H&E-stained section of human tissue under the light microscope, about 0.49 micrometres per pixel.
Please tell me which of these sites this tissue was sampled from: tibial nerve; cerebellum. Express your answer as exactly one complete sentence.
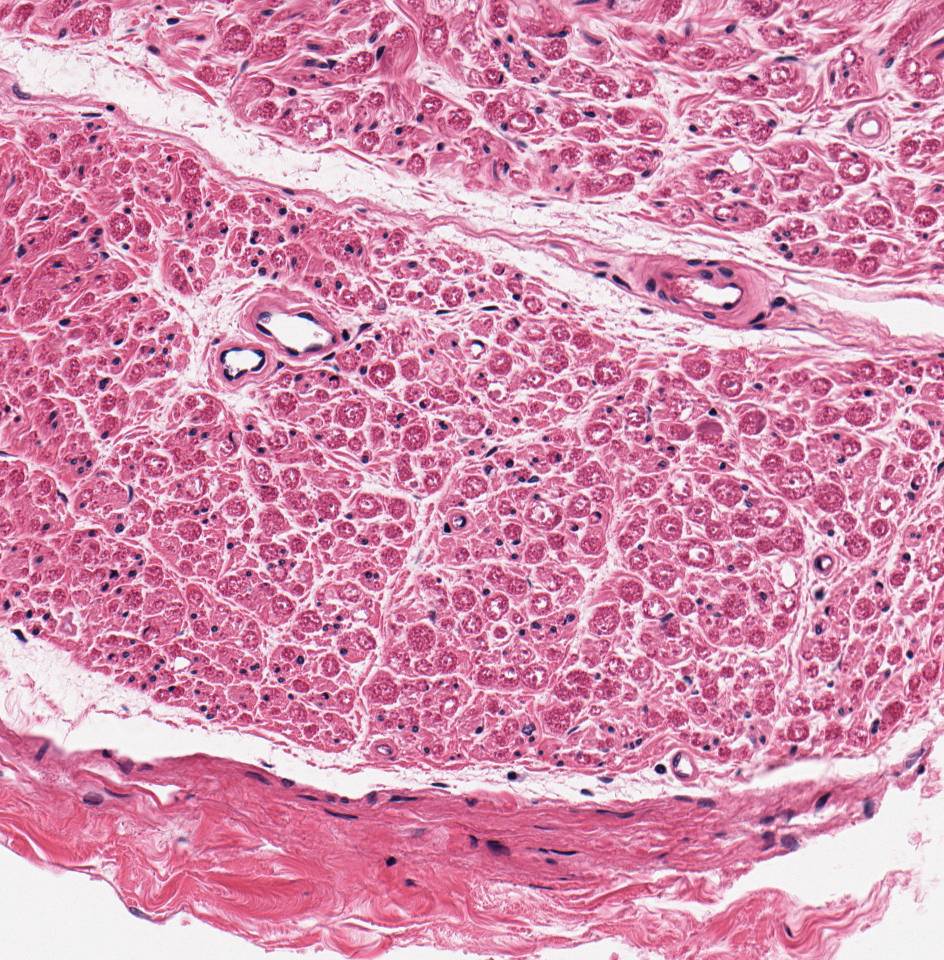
This specimen was obtained from the tibial nerve.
